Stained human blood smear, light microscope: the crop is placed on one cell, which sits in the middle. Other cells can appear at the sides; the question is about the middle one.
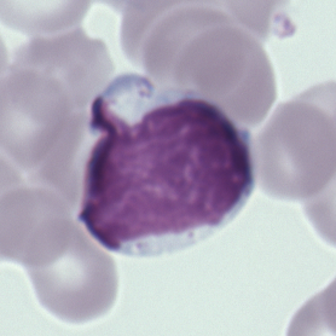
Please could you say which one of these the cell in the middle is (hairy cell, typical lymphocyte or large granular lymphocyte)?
large granular lymphocyte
